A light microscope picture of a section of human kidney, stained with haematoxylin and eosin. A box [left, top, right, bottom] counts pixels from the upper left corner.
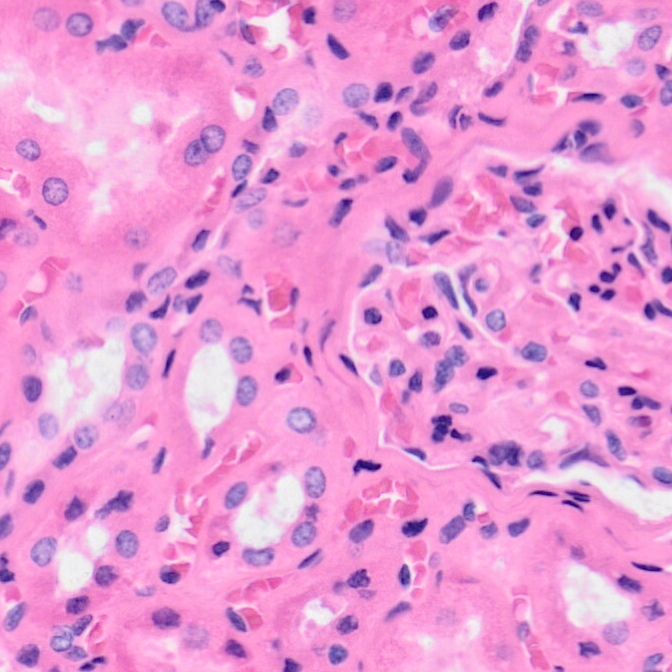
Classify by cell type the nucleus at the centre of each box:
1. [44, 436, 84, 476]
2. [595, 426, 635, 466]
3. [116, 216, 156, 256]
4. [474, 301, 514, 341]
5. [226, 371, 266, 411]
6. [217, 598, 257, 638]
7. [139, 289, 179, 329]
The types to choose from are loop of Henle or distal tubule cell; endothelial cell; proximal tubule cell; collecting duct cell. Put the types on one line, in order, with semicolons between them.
collecting duct cell; endothelial cell; proximal tubule cell; endothelial cell; loop of Henle or distal tubule cell; endothelial cell; collecting duct cell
